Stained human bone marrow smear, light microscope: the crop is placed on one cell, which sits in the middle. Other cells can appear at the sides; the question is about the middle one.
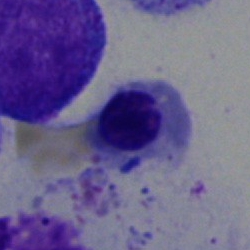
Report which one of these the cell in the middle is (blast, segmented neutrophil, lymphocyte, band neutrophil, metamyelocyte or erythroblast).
erythroblast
